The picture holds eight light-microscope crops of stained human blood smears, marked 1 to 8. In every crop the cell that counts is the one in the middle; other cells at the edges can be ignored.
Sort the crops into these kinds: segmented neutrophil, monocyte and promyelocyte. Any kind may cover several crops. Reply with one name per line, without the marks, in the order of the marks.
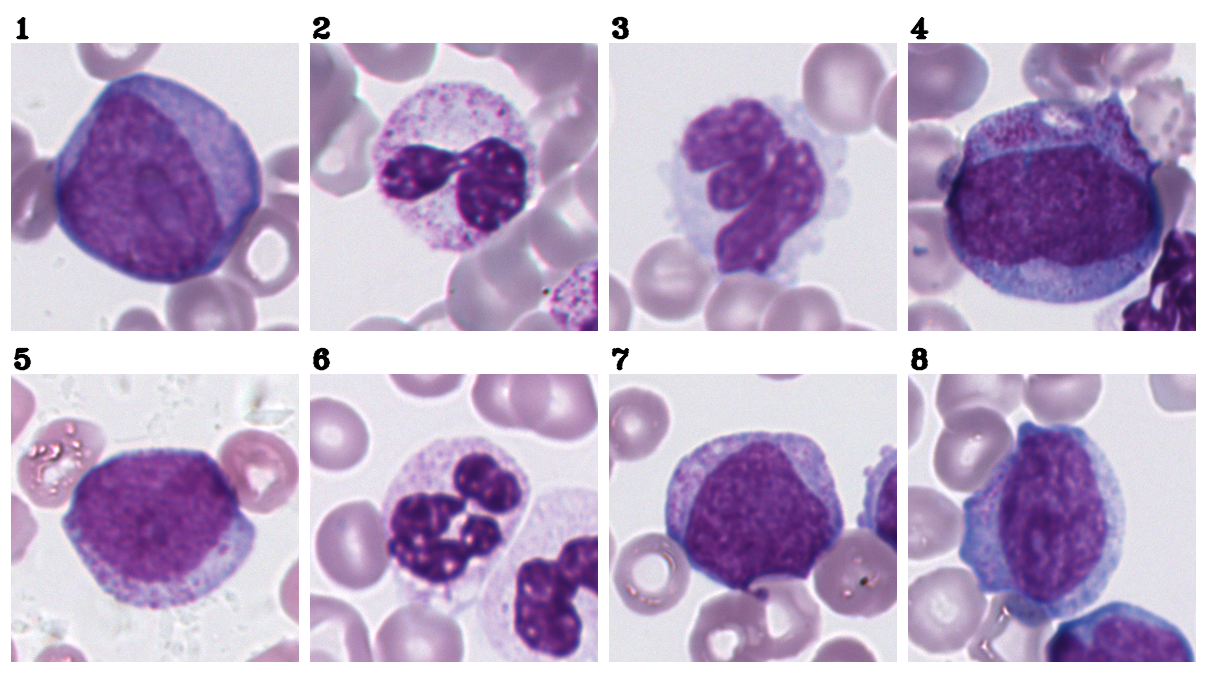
promyelocyte
segmented neutrophil
monocyte
promyelocyte
promyelocyte
segmented neutrophil
promyelocyte
promyelocyte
